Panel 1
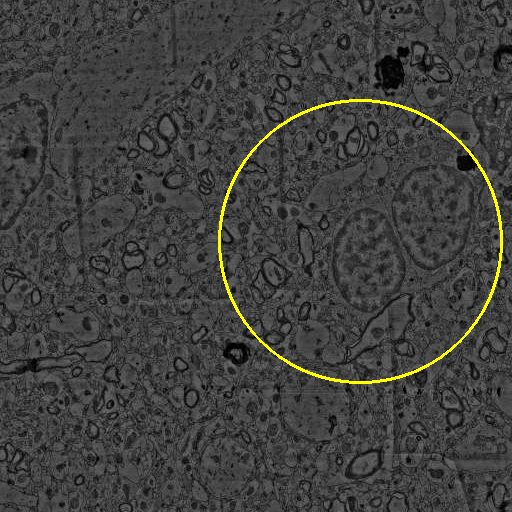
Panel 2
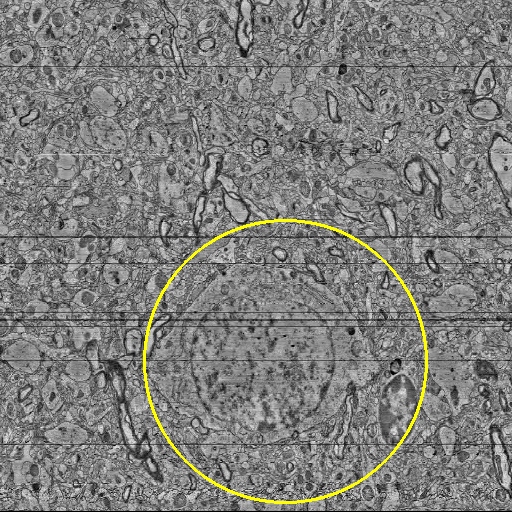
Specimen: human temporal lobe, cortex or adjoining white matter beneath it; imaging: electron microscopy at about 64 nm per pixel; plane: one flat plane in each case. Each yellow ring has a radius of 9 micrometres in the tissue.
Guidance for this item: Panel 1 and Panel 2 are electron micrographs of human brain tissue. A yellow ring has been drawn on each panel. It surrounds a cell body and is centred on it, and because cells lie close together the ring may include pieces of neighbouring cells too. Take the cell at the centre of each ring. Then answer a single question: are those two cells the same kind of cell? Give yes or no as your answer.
no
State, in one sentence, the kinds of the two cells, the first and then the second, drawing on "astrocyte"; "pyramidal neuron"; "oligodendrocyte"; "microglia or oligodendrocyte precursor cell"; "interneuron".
The ring in the second picture is centred on an interneuron, the ring in the first on an oligodendrocyte.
